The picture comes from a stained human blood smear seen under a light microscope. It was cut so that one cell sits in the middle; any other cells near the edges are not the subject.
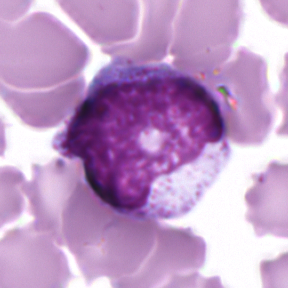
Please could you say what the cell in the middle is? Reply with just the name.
metamyelocyte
